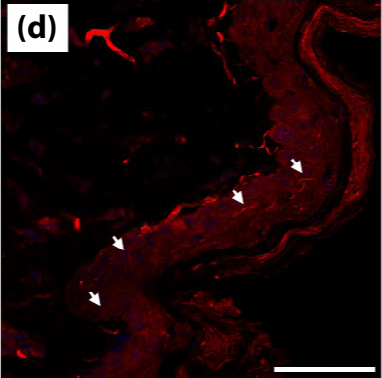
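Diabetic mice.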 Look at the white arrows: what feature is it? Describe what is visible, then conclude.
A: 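A thin curved band of cells runs diagonally across the image. The few arrows point to faint, fine red threads within this band.
Intraepidermal nerve fibers.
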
